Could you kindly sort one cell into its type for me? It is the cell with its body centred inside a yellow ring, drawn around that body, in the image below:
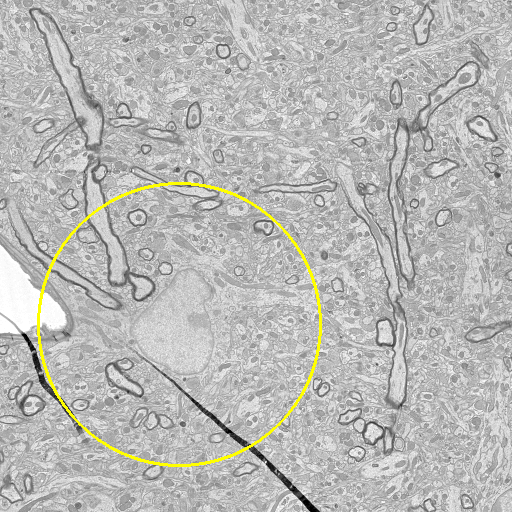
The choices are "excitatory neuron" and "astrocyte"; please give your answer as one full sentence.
The cell whose body lies centred in the yellow ring here is an astrocyte.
